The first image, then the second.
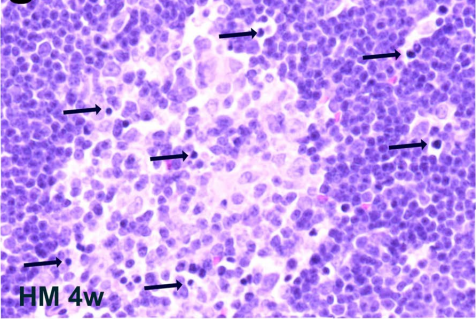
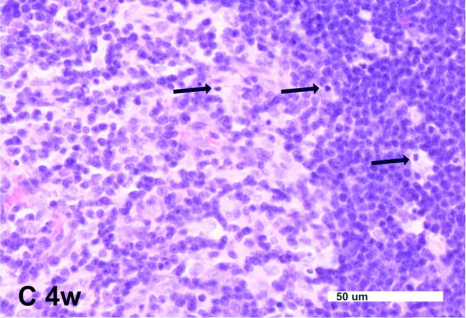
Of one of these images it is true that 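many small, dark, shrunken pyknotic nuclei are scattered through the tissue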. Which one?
the first image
